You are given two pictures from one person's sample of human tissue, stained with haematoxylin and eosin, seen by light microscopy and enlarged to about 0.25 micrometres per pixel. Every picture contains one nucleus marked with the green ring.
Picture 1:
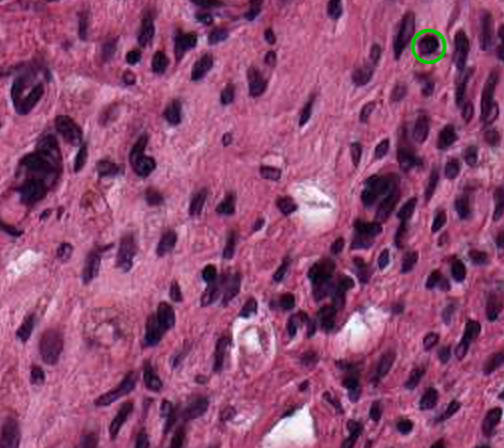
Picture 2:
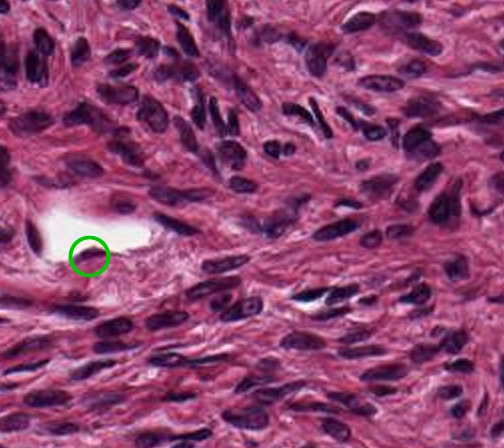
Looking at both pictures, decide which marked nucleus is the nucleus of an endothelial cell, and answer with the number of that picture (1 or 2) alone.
2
